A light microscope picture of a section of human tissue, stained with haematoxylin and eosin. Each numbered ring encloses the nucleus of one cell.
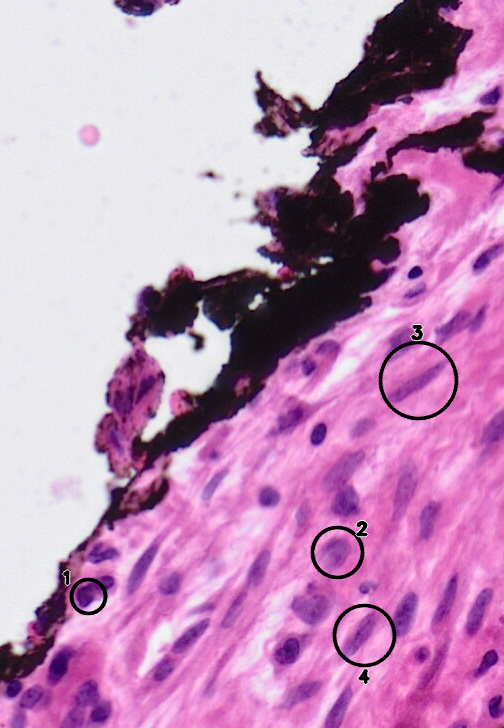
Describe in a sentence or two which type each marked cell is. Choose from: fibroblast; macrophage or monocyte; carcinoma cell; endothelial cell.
Cell 1 is a macrophage or monocyte, cell 2 is a fibroblast, cell 3 is a fibroblast and cell 4 is a fibroblast.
